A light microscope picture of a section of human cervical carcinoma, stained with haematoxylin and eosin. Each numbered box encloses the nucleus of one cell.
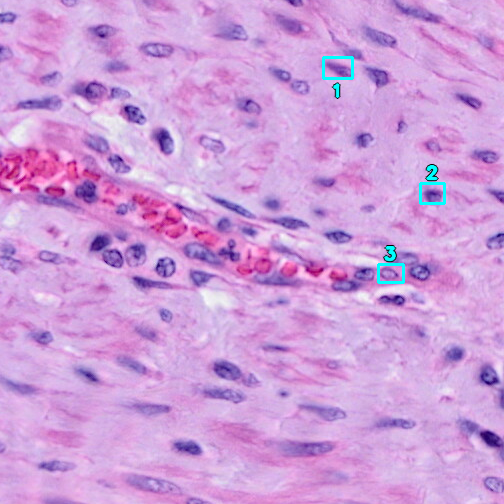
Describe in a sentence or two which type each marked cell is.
Cells 1 and 2 are smooth muscle cells. Cell 3 is an endothelial cell.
